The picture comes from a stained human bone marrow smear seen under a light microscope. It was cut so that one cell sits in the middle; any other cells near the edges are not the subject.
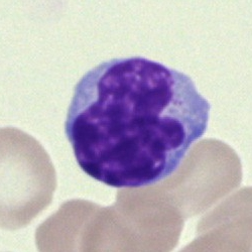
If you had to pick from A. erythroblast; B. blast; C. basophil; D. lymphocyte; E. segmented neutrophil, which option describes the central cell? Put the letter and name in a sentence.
Here the right option is D, as the cell in the middle is a lymphocyte.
